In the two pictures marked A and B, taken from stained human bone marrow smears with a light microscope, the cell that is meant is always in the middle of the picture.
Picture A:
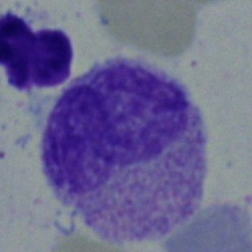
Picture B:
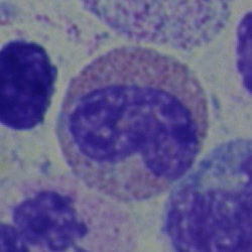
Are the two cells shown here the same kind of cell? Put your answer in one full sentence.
No, they differ: the cell is a myelocyte in picture A and an eosinophil in picture B.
